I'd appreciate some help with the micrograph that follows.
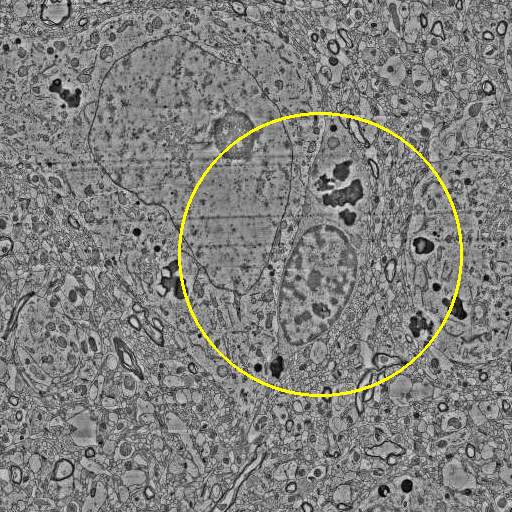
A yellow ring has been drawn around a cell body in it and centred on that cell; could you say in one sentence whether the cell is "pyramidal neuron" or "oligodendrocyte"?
It is an oligodendrocyte at the centre of the ring.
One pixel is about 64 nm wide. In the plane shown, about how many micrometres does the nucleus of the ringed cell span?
The nucleus is about 8 micrometres in length and 5 in width, clearly longer than it is wide in this plane.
